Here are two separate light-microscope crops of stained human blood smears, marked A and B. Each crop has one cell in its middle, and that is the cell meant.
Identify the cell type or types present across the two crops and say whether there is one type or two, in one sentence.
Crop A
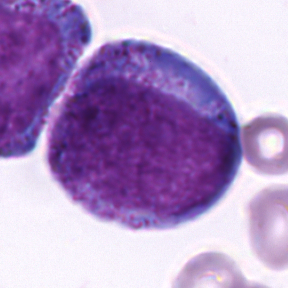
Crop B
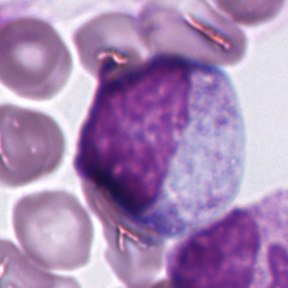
No, in fact crop A shows a promyelocyte, and crop B shows a myelocyte.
